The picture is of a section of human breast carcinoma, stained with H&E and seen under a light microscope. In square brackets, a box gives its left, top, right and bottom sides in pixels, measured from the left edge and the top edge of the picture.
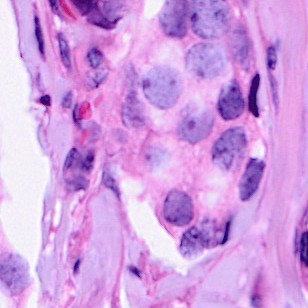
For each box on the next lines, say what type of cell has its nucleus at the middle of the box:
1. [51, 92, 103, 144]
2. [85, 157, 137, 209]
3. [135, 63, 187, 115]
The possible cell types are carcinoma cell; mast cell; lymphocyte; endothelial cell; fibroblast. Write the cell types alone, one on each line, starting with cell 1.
endothelial cell
fibroblast
carcinoma cell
